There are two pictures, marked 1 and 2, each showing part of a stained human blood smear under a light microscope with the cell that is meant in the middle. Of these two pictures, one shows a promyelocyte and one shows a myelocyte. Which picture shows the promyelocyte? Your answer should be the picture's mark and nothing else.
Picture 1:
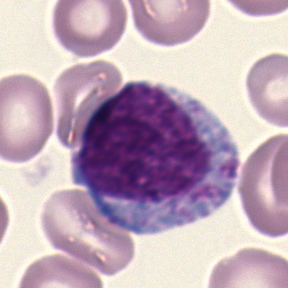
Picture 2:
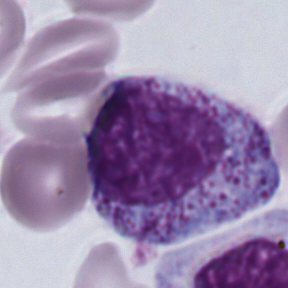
2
